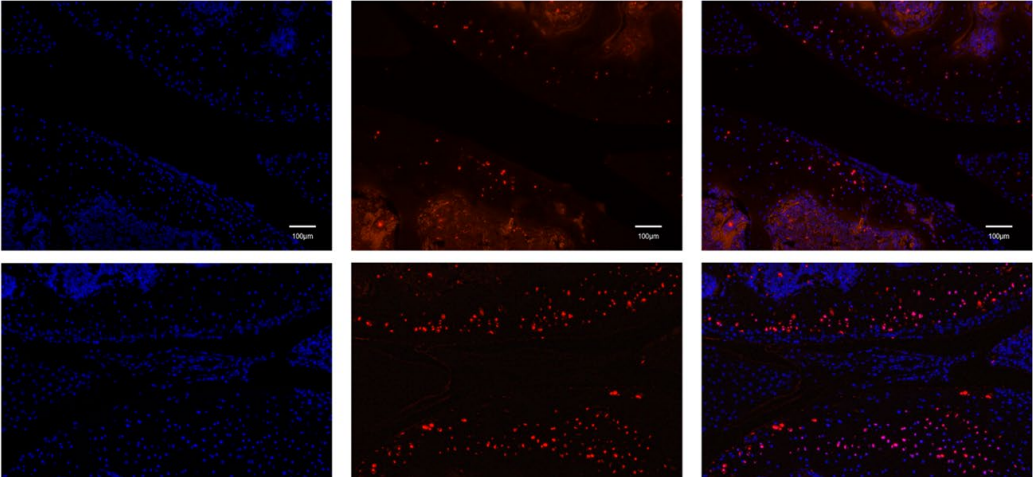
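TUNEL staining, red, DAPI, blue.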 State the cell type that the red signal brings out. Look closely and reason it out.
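Small round red dots sit on blue nuclei in the merged images. The blue nuclei are sparse and scattered in a dark, cell-poor matrix.
Chondrocyte.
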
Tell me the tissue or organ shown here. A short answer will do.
Articular cartilage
